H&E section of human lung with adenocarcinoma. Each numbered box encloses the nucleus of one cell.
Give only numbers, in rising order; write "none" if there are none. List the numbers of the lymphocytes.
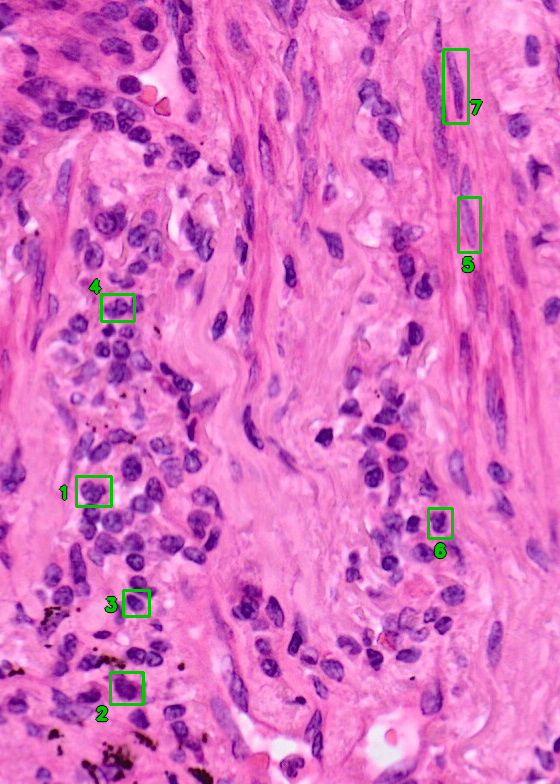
1, 3, 4, 6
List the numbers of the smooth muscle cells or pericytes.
5, 7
